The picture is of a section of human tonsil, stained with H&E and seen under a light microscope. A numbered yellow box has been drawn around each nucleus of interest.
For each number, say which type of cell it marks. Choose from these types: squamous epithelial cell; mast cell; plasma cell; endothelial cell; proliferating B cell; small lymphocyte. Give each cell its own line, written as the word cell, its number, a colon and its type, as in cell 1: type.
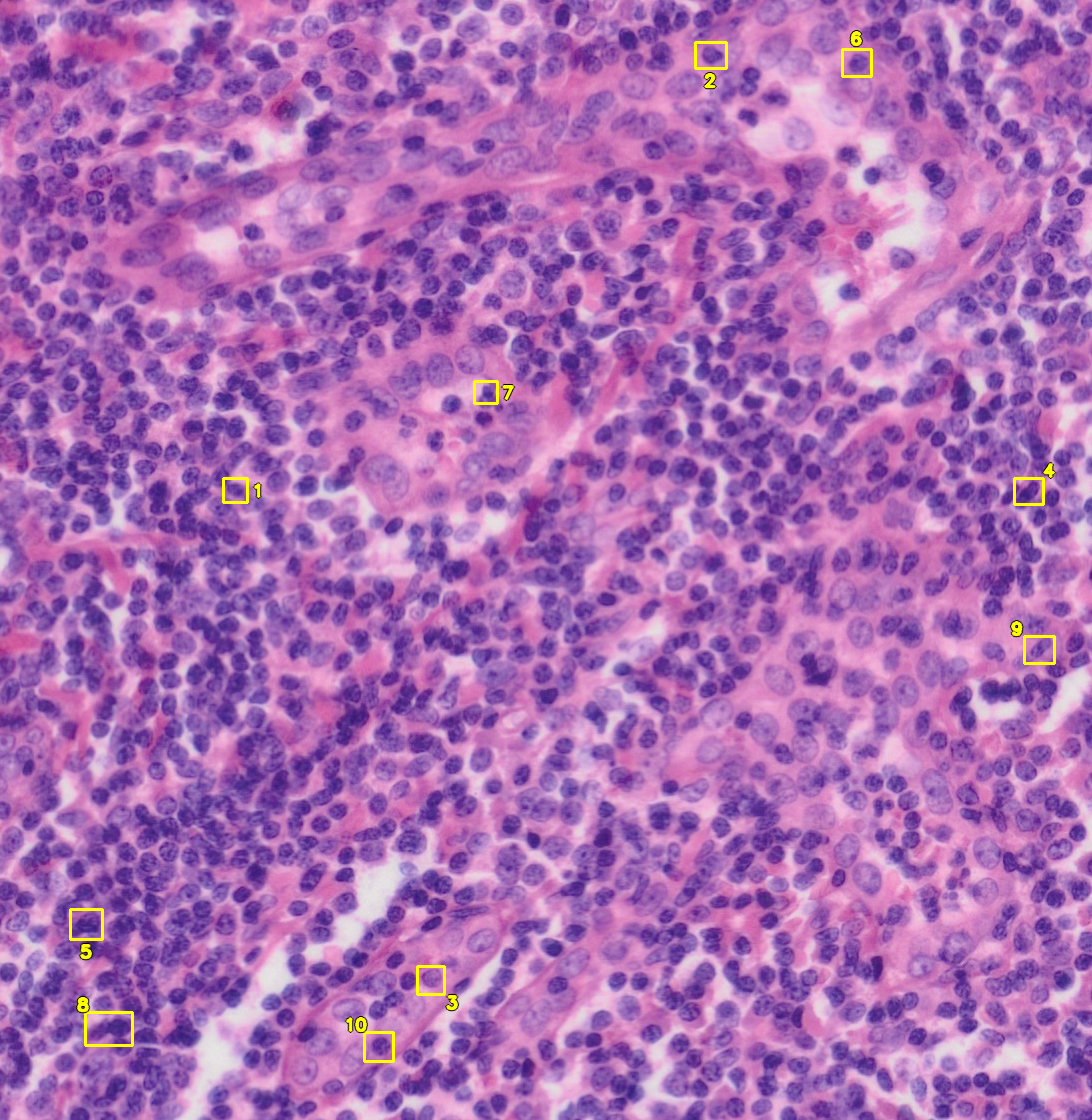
cell 1: small lymphocyte
cell 2: endothelial cell
cell 3: endothelial cell
cell 4: small lymphocyte
cell 5: small lymphocyte
cell 6: endothelial cell
cell 7: endothelial cell
cell 8: small lymphocyte
cell 9: endothelial cell
cell 10: endothelial cell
